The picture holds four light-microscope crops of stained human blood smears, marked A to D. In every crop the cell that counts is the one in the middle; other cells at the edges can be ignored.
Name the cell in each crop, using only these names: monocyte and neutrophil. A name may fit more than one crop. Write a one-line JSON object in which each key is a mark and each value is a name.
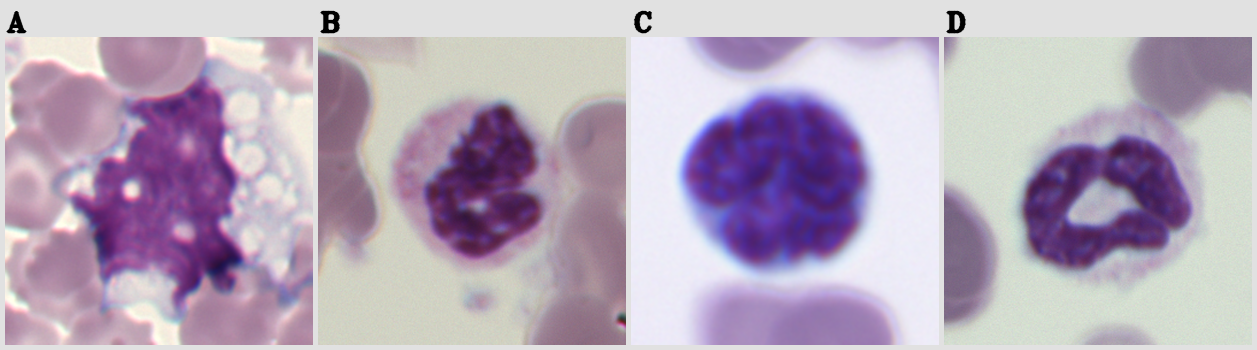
{"A": "monocyte", "B": "neutrophil", "C": "monocyte", "D": "neutrophil"}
